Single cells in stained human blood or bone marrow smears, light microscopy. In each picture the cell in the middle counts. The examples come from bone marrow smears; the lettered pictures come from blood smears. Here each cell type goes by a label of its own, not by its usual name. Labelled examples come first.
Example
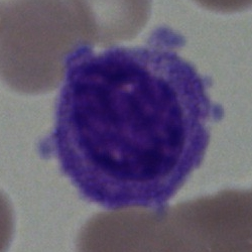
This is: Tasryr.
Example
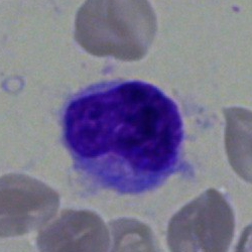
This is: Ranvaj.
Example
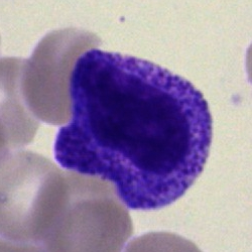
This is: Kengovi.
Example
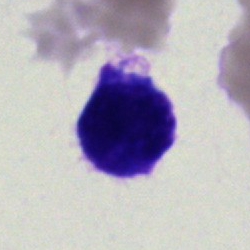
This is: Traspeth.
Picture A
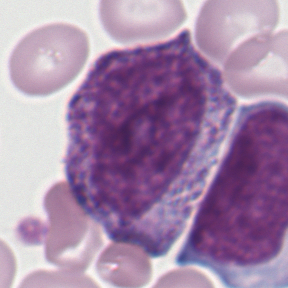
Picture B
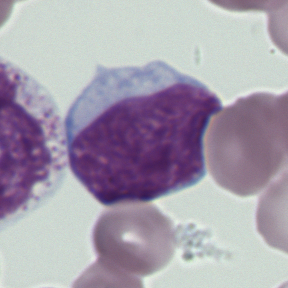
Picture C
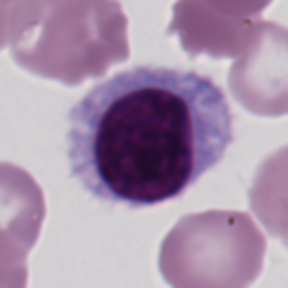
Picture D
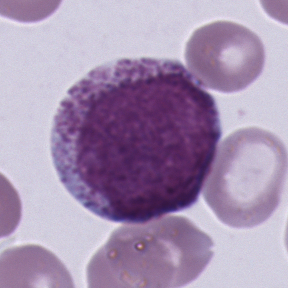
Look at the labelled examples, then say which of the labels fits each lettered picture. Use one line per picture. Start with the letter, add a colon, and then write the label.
A: Tasryr.
B: Traspeth.
C: Ranvaj.
D: Tasryr.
